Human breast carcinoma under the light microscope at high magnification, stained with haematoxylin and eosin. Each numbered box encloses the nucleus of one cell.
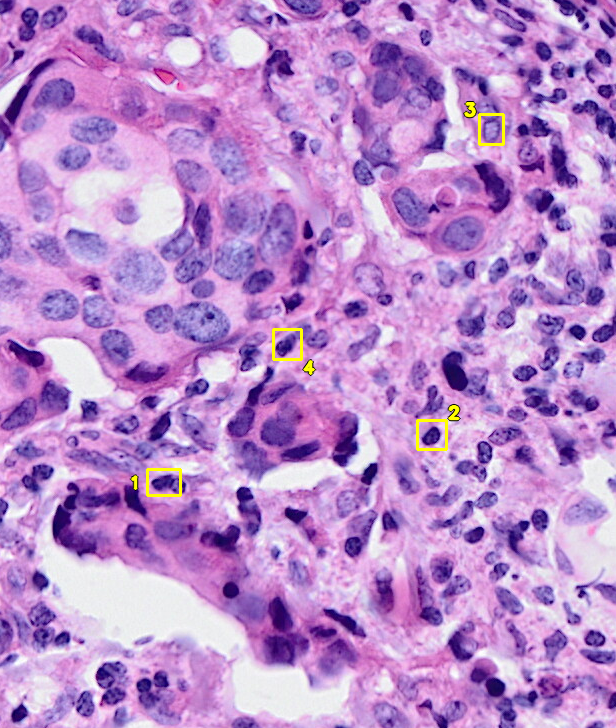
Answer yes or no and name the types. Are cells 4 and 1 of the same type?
Yes, both cell 4 and cell 1 are lymphocytes.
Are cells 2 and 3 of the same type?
No, cell 2 is identified as a lymphocyte, and cell 3 is identified as an endothelial cell.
